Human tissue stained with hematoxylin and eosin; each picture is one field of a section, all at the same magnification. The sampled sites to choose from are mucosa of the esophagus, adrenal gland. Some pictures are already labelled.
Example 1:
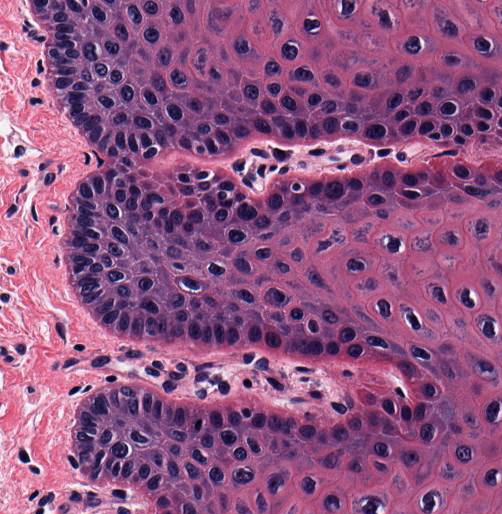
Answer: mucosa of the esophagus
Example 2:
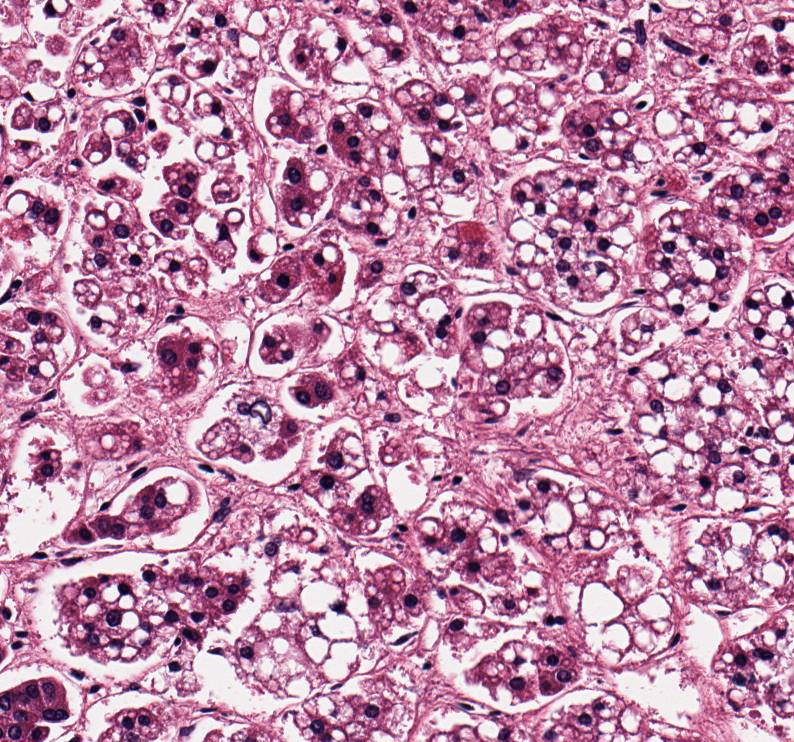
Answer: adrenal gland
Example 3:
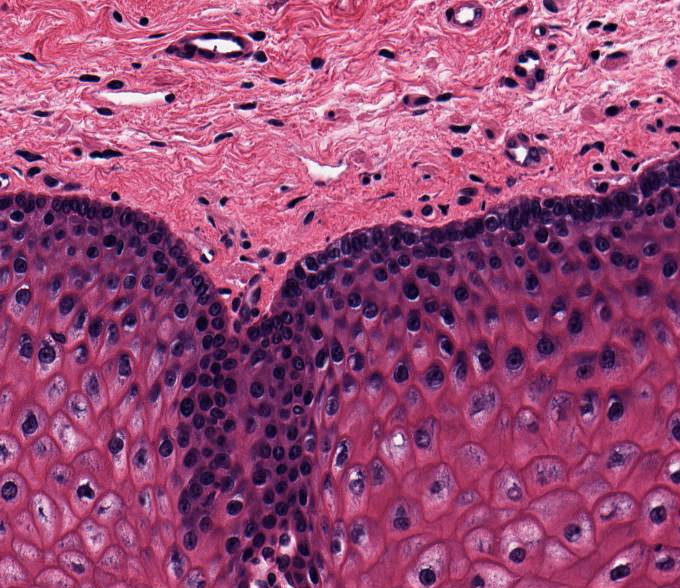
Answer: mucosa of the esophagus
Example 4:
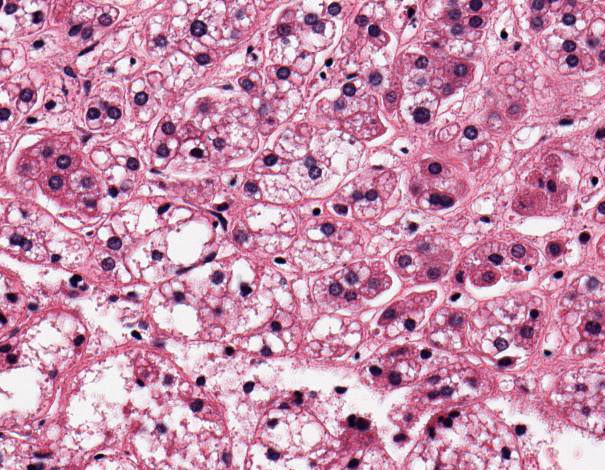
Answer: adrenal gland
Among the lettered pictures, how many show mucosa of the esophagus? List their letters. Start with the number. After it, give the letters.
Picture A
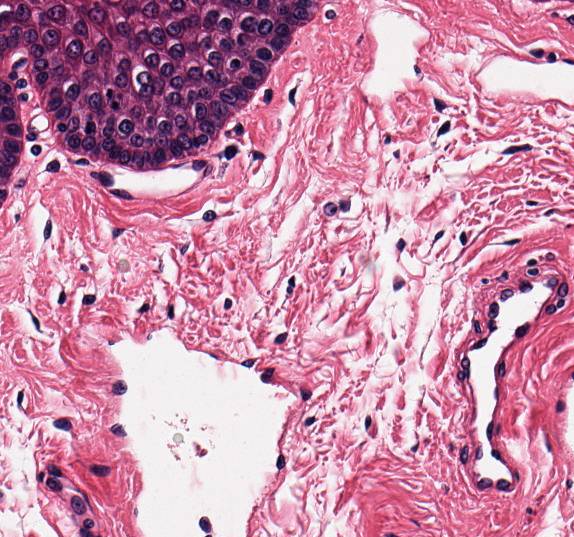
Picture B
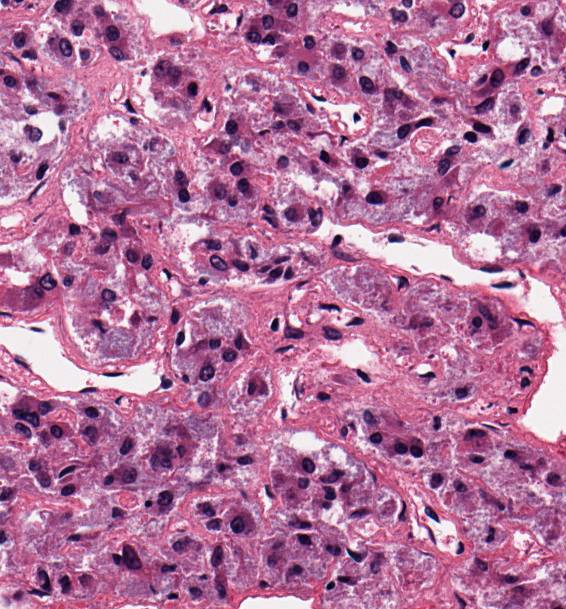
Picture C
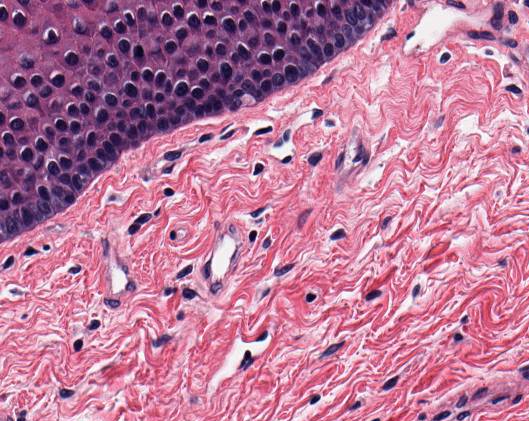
Count: 2 (A, C)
